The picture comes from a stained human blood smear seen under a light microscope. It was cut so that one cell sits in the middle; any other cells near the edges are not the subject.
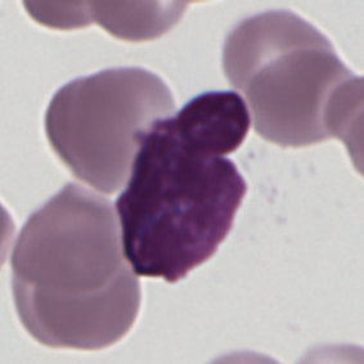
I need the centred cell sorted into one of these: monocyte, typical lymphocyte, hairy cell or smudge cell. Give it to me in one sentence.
To answer, the cell in the center of the crop is a smudge cell.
